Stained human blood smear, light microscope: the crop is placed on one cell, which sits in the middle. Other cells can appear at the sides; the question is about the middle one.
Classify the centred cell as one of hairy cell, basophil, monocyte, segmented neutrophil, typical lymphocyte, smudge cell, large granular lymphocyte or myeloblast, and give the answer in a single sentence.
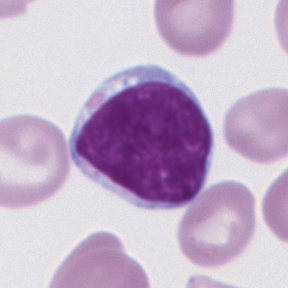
In this crop, the cell at the very middle is a large granular lymphocyte.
